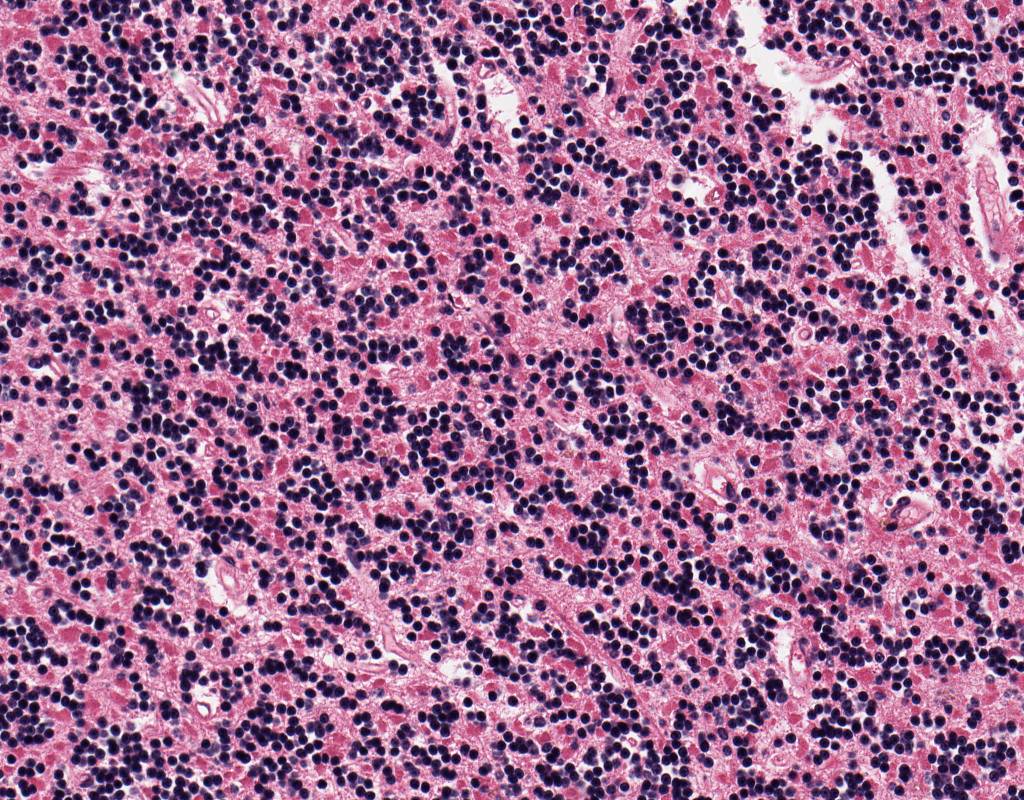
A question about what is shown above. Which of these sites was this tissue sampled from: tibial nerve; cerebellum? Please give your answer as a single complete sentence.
The site sampled for this tissue was the cerebellum.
